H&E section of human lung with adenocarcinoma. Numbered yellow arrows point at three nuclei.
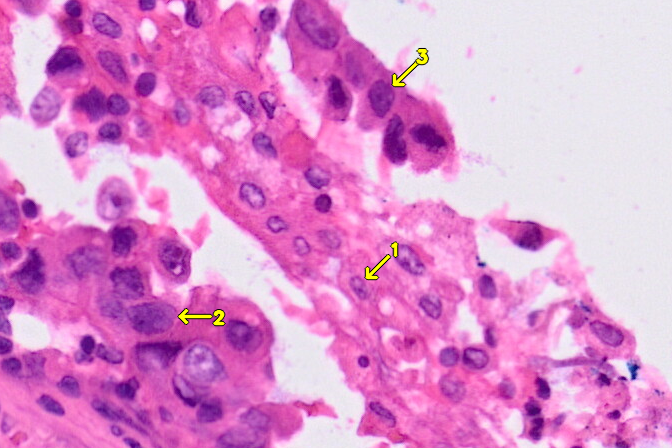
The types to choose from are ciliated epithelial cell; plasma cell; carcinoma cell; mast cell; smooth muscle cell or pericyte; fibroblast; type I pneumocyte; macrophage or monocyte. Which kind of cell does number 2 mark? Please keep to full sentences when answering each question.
In the tissue shown, cell 2 is a carcinoma cell.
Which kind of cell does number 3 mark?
It is as a carcinoma cell that the cell numbered 3 is identified.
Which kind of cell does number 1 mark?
The cell assigned the number 1 is a macrophage or monocyte.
